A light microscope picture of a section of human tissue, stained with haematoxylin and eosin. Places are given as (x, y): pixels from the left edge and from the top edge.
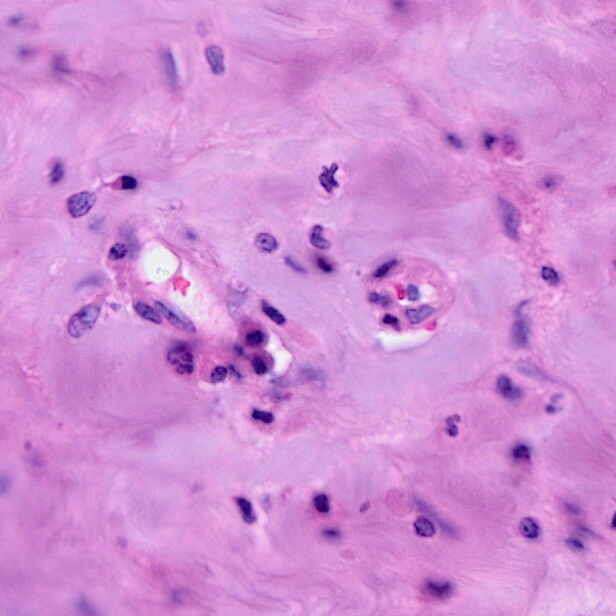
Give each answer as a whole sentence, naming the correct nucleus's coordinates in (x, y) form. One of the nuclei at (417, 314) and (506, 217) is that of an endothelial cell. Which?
The nucleus that belongs to an endothelial cell is located at (417, 314).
